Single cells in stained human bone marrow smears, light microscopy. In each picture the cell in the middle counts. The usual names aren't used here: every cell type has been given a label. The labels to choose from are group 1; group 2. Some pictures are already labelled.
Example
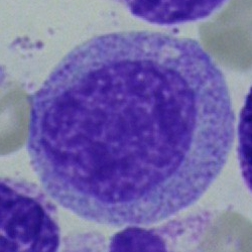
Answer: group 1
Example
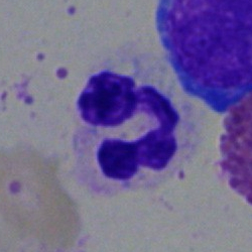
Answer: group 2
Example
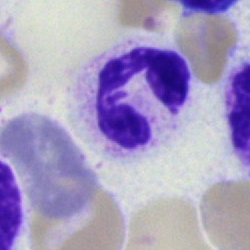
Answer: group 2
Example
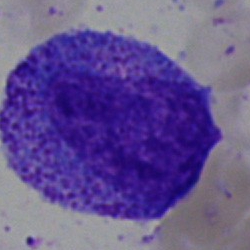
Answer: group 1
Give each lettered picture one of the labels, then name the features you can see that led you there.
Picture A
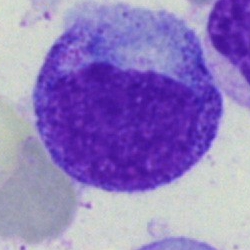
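group 1. The chromatin is finely granular rather than coarsely clumped.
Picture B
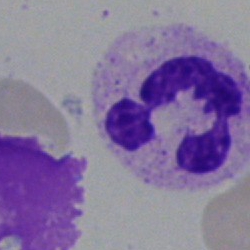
group 2. The chromatin is dark purple and coarsely clumped.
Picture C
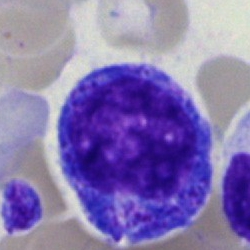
group 1. The chromatin is finely textured rather than coarsely clumped.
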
